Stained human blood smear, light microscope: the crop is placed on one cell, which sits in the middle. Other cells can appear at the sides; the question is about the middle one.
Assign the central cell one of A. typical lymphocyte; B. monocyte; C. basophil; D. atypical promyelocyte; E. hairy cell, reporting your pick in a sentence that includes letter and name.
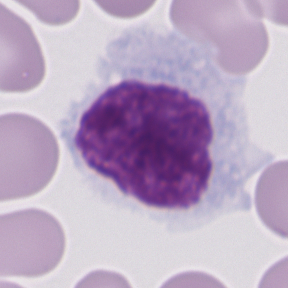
Option E is right, the centrally situated cell being a hairy cell.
